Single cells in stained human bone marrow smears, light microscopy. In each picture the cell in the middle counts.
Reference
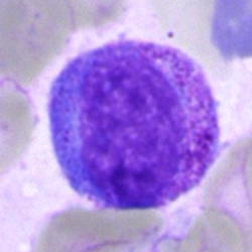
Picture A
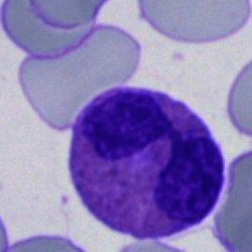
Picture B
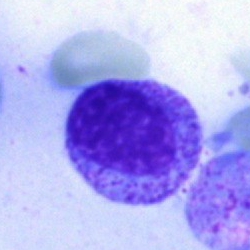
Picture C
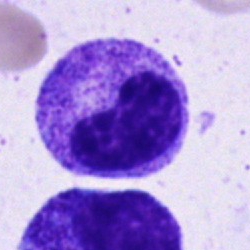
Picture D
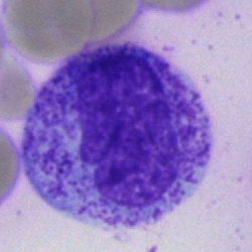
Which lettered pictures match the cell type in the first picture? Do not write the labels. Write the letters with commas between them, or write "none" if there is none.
B, D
